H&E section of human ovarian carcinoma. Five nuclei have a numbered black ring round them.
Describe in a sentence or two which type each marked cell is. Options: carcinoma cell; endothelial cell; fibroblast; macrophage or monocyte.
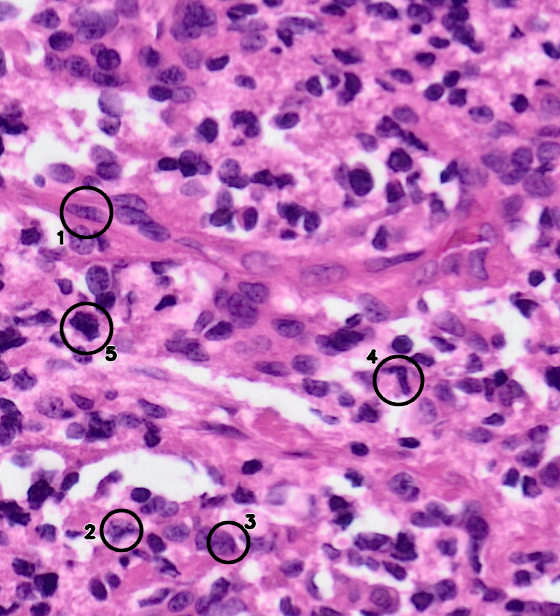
Cell 1 is an endothelial cell, cell 2 is a macrophage or monocyte, cell 3 is a carcinoma cell, cell 4 is a macrophage or monocyte and cell 5 is a carcinoma cell.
